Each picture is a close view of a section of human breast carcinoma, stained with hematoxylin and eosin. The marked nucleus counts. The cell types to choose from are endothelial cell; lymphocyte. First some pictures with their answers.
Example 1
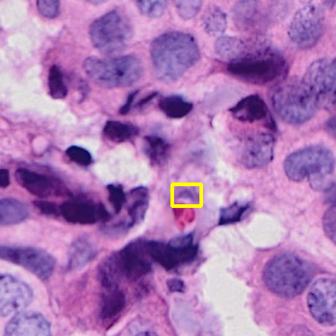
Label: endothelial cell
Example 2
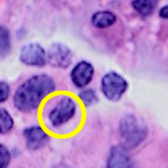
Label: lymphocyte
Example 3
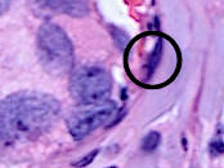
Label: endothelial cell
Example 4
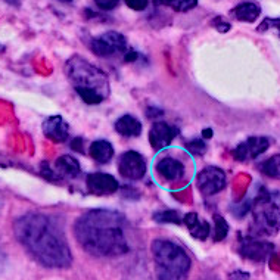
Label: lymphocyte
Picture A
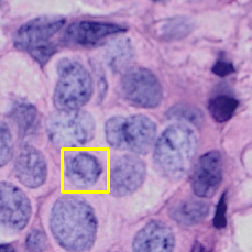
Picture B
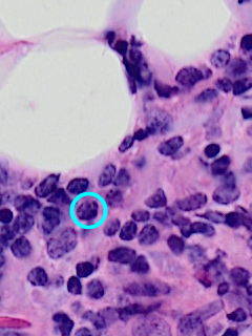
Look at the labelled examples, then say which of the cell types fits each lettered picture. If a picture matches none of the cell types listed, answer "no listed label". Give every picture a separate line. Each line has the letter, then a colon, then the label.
A: no listed label
B: lymphocyte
